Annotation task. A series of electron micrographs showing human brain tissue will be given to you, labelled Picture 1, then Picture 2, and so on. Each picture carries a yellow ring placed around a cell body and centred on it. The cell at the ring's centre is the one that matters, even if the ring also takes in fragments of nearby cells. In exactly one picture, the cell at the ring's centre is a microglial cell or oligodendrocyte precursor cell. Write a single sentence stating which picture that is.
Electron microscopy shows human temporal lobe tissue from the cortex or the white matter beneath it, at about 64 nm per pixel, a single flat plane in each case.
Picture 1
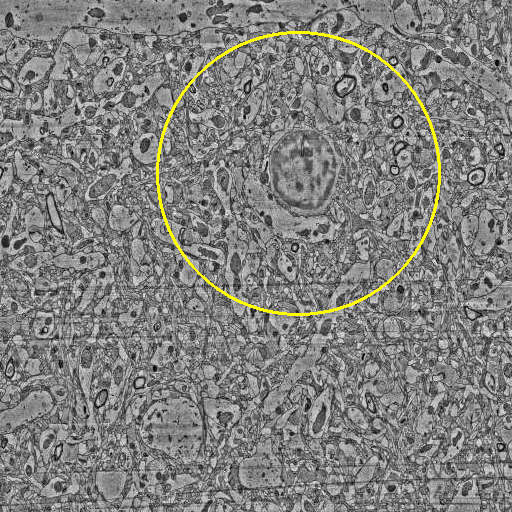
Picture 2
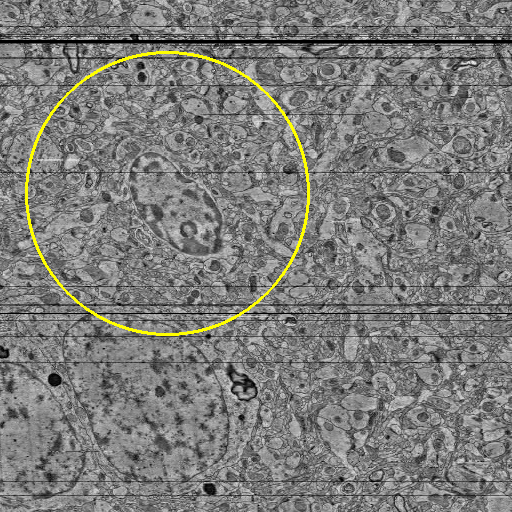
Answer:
Picture 2 holds the requested cell at the very centre of its ring.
